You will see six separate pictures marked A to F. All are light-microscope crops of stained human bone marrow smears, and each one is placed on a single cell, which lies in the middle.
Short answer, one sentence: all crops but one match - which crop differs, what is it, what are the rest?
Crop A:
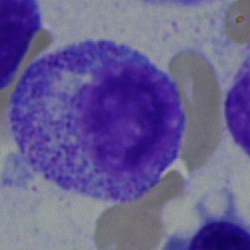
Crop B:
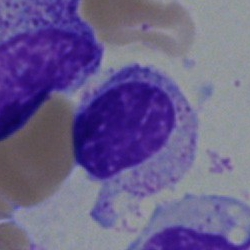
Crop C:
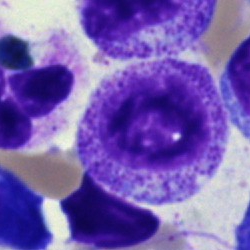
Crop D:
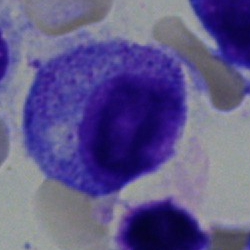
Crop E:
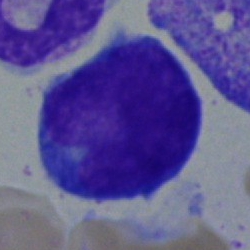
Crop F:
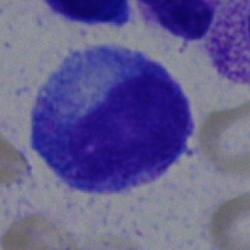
The exception is crop E, with a blast; the remaining crops all show myelocytes.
